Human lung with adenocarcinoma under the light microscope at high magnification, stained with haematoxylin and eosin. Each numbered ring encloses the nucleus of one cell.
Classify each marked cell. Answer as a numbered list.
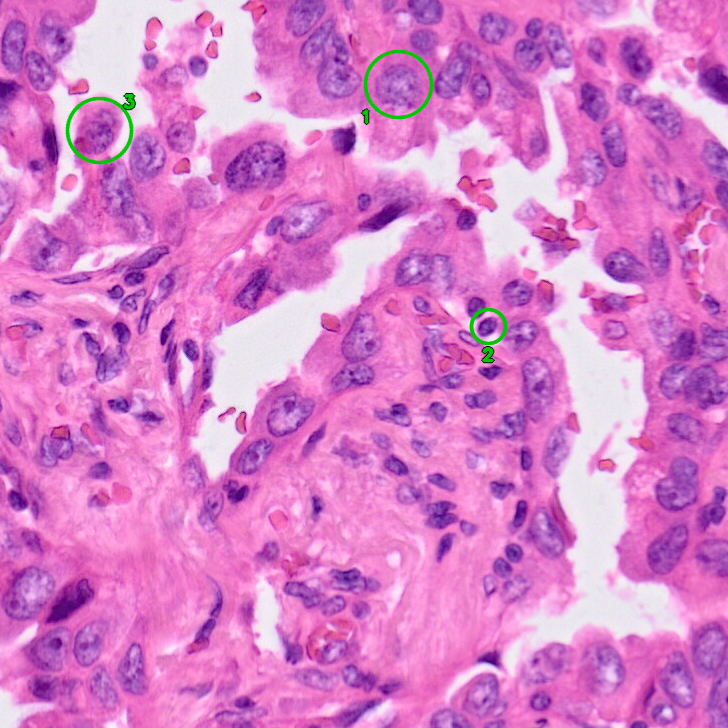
1. carcinoma cell
2. lymphocyte
3. carcinoma cell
